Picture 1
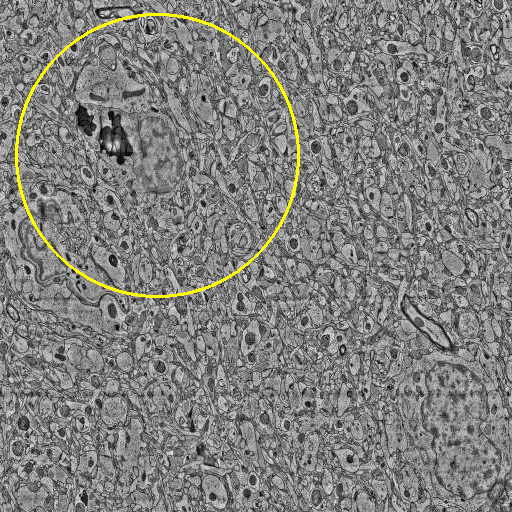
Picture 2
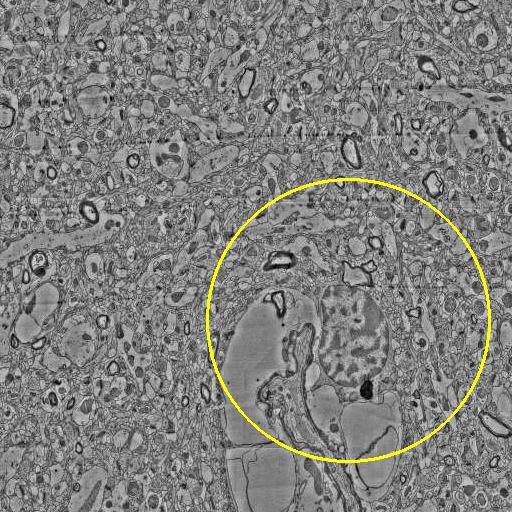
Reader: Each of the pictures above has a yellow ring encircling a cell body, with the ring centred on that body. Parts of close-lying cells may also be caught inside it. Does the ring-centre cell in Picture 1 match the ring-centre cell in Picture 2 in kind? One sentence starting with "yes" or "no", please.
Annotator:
Yes, Picture 1 and Picture 2 show ring-centre cells of a single kind.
